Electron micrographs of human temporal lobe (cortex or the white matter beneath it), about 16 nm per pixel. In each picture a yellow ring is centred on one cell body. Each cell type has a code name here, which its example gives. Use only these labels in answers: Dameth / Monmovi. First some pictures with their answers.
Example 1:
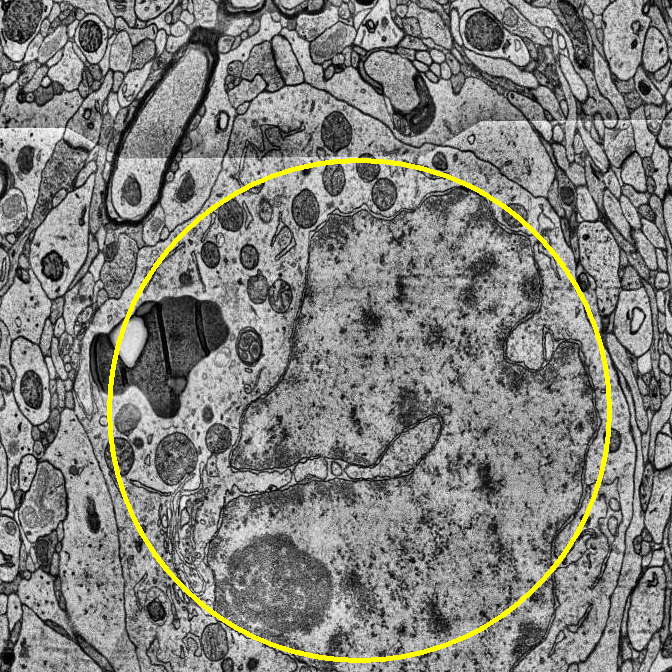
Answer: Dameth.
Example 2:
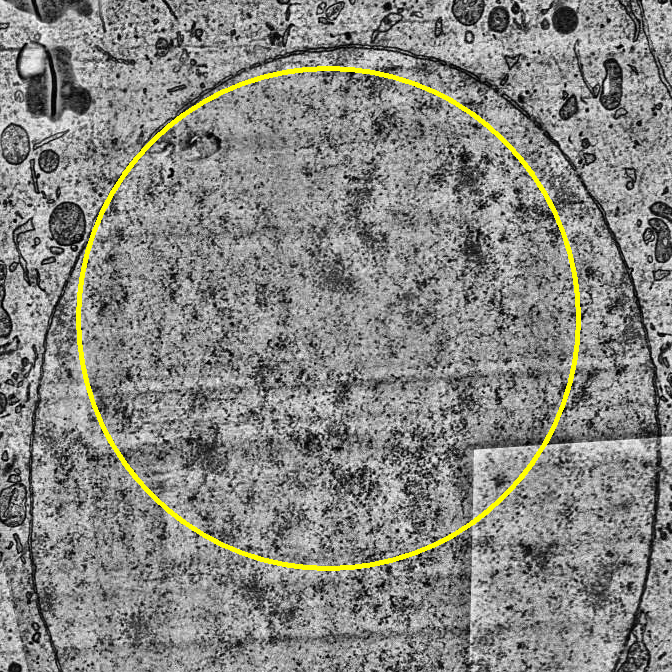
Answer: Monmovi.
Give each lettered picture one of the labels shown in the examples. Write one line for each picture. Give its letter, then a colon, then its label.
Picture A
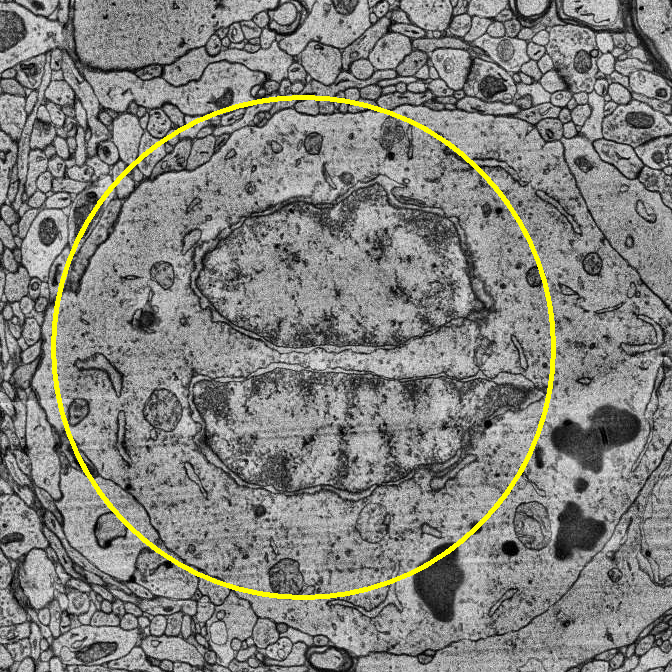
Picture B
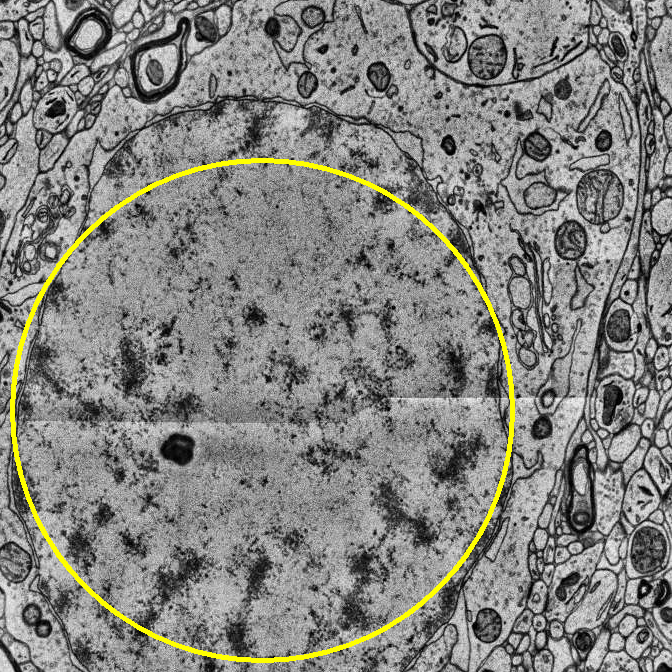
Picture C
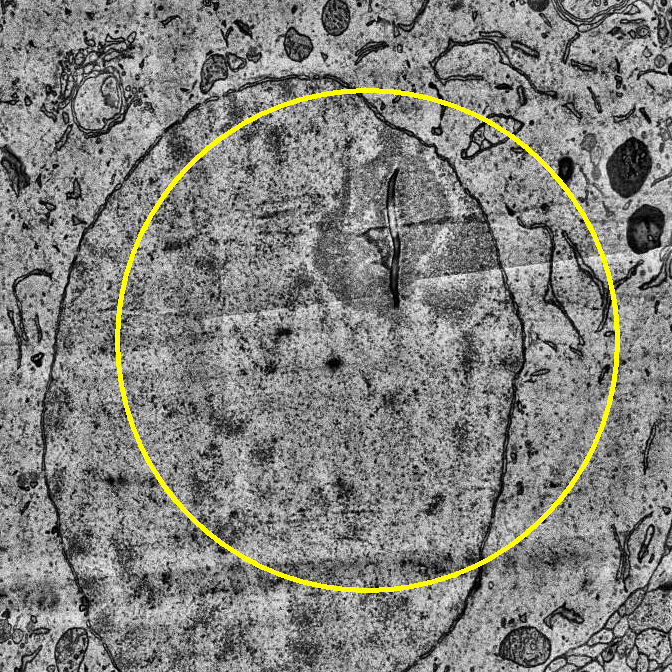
A: Dameth.
B: Dameth.
C: Monmovi.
